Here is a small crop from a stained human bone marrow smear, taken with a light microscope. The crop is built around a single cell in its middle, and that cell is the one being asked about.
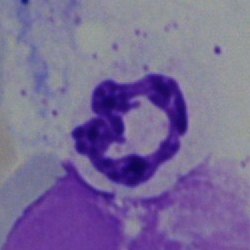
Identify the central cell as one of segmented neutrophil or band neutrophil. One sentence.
The central cell shown in this smear crop is a segmented neutrophil.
